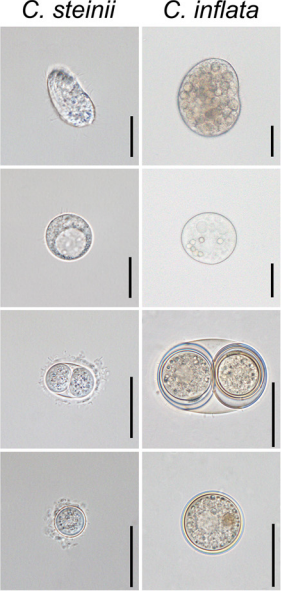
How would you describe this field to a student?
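The vegetative cells are oval to kidney-shaped, with cytoplasm full of small granules and vacuoles. The unstable cysts are round, thin-walled and pale. The dividing cysts hold two rounded cells pressed together inside a common envelope, the larger form with a thick, glassy, refractile wall. The resting cysts are single round bodies with a thick wall, the smaller form surrounded by a ragged outer coat.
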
